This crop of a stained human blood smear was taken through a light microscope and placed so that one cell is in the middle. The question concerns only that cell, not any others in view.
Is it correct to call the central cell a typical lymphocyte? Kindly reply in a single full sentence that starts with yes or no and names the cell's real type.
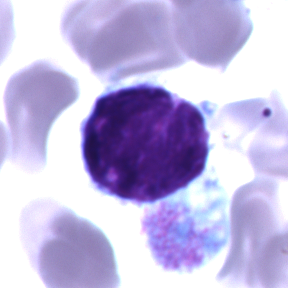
Yes, this is a typical lymphocyte, the cell in the middle of the crop.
